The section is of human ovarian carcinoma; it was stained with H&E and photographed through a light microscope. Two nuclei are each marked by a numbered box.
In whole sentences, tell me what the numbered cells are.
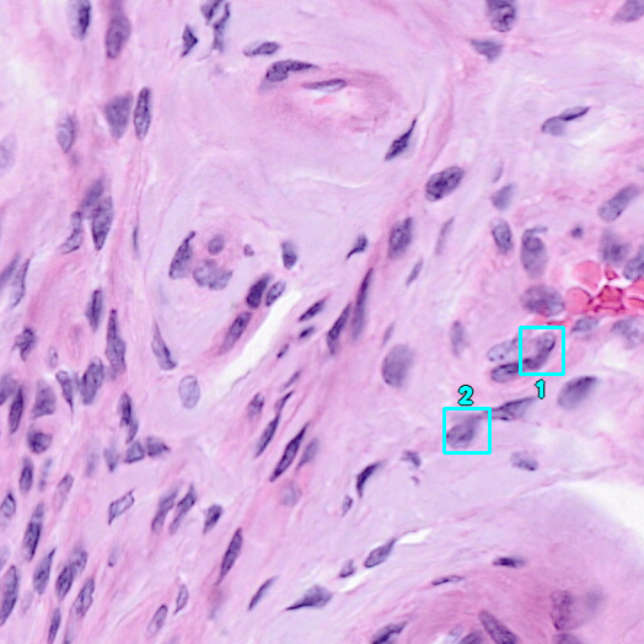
Cell 1 is an endothelial cell. Cell 2 is a fibroblast.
